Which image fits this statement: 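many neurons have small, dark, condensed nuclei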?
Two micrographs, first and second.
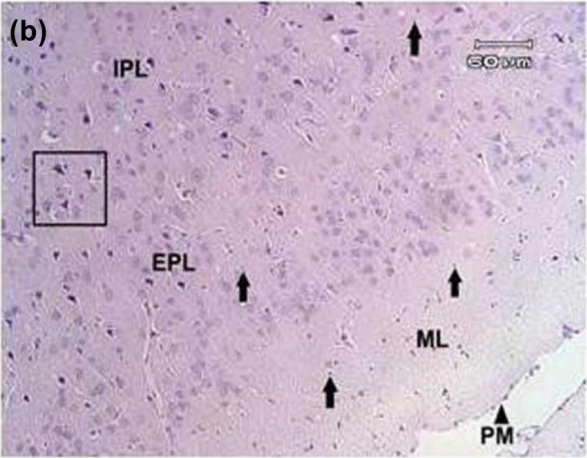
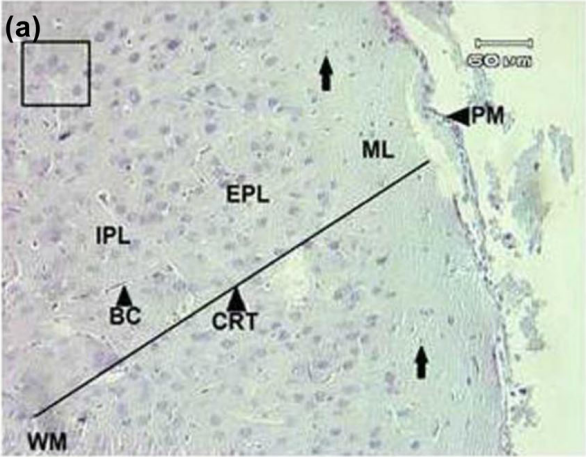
the first image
